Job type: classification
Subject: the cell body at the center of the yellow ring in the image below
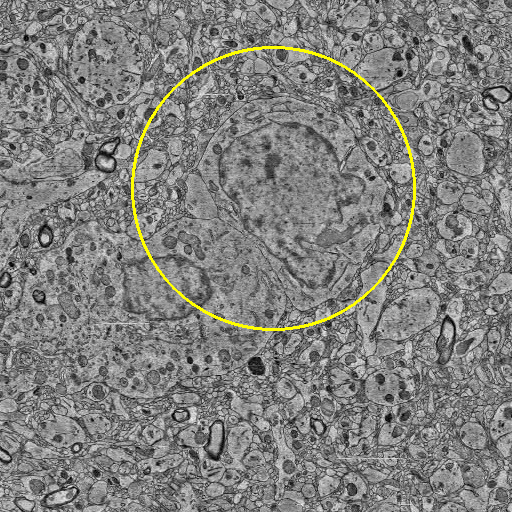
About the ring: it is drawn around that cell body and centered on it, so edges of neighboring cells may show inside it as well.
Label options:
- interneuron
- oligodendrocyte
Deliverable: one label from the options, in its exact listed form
interneuron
